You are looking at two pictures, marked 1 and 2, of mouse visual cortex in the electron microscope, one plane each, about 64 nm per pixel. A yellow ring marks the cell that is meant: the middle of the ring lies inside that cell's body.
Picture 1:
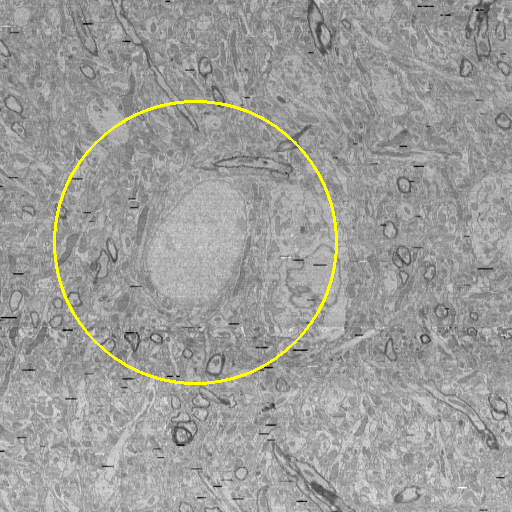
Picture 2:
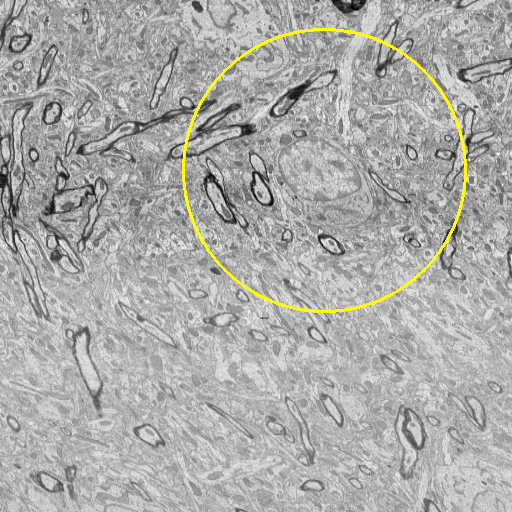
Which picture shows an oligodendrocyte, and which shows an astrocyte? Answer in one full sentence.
Picture 1 is of an astrocyte, and picture 2 is of an oligodendrocyte.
